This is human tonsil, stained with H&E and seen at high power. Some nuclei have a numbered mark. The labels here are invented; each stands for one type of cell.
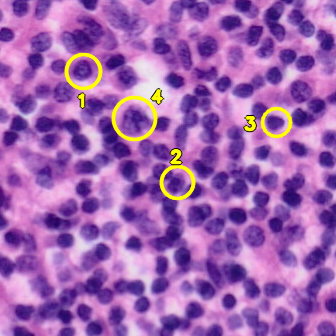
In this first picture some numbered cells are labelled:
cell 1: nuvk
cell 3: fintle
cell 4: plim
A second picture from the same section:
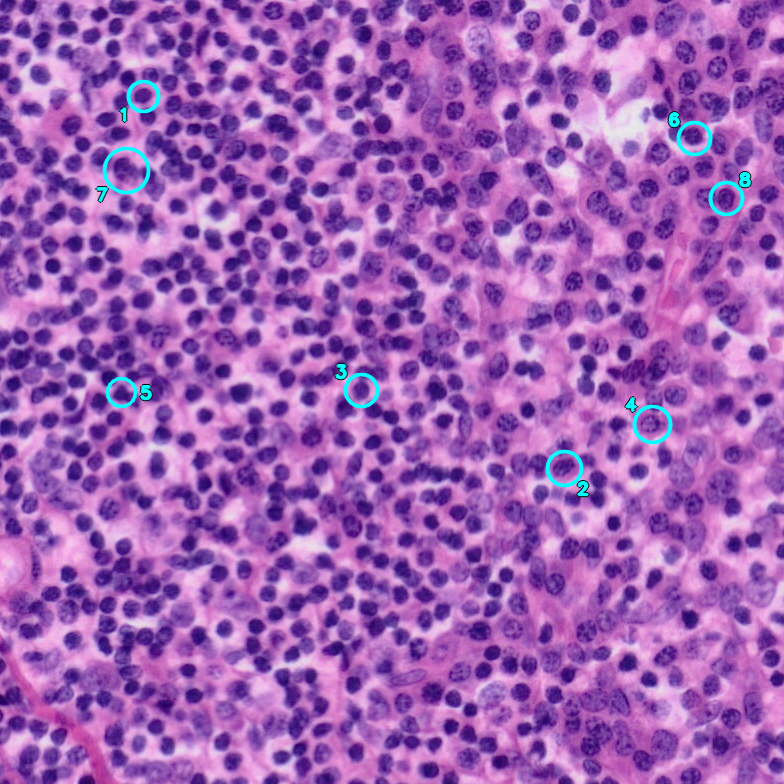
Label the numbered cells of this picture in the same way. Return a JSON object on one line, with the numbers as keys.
{"1": "fintle", "2": "nuvk", "3": "fintle", "4": "nuvk", "5": "fintle", "6": "nuvk", "7": "plim", "8": "nuvk"}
